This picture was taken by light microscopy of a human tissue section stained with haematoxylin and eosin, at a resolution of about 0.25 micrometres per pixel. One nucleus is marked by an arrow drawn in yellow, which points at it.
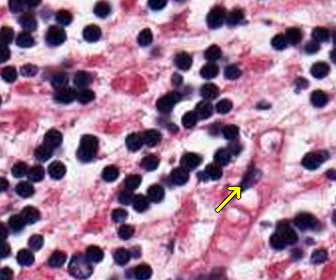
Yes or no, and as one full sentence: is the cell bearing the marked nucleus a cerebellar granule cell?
No, the marked nucleus does not come from a cerebellar granule cell but from a supporting cell.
